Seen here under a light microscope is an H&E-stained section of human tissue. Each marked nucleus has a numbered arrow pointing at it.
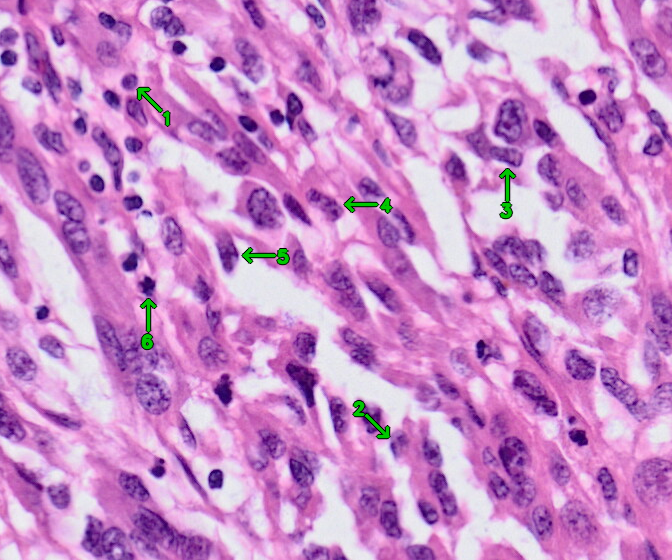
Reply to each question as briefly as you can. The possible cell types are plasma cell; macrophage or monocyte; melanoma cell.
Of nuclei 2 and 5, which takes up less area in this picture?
2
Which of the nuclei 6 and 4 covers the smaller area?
6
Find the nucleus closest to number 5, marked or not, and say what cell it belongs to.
melanoma cell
